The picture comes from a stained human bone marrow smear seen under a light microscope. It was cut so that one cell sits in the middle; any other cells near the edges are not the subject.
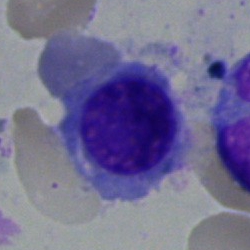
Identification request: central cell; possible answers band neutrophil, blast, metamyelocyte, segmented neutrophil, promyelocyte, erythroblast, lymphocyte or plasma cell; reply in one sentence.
The cell at the central position in this crop is an erythroblast.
